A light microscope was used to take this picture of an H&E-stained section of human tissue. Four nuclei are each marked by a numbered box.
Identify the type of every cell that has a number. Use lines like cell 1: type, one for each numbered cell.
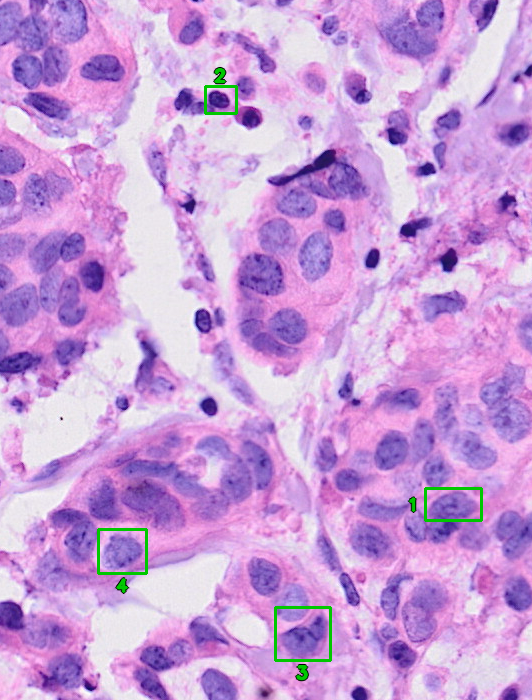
cell 1: carcinoma cell
cell 2: lymphocyte
cell 3: carcinoma cell
cell 4: carcinoma cell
